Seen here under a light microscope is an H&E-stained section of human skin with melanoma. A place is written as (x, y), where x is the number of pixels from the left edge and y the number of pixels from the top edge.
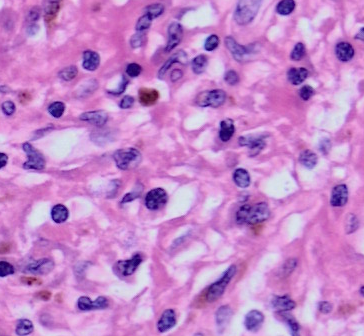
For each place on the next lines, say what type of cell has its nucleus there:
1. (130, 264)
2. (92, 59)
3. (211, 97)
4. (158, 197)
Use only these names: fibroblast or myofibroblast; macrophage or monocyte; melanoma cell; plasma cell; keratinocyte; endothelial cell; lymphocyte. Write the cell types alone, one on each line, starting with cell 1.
plasma cell
lymphocyte
macrophage or monocyte
plasma cell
